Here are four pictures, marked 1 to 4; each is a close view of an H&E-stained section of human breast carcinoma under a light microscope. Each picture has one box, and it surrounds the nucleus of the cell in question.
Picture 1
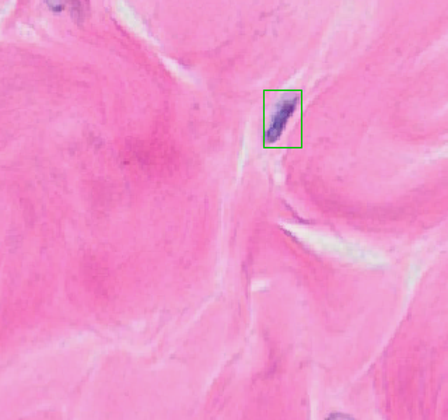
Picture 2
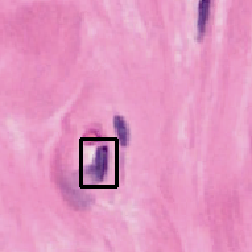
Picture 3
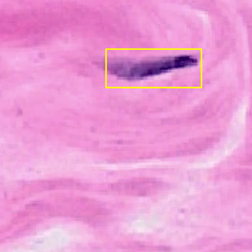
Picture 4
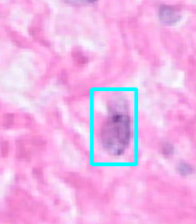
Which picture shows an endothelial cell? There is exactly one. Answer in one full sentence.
The endothelial cell is the one in picture 2.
